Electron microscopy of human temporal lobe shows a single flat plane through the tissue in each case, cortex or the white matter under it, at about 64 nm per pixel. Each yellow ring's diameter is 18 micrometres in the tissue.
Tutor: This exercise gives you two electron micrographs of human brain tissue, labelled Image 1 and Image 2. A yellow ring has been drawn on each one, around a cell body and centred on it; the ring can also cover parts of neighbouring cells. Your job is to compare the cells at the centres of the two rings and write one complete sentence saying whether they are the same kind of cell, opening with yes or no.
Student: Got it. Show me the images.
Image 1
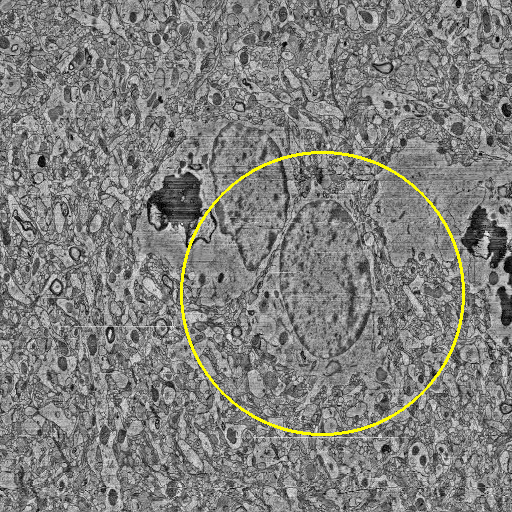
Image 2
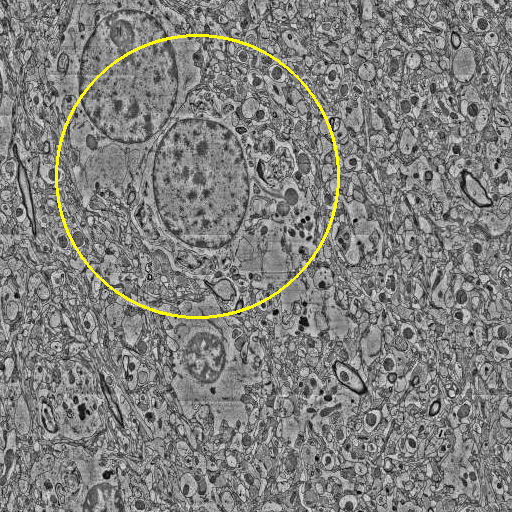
Yes, the two cells belong to the same kind.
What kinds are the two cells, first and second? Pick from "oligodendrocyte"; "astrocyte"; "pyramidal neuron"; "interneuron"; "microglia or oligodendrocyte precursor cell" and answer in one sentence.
Both rings mark an astrocyte, one in each picture.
